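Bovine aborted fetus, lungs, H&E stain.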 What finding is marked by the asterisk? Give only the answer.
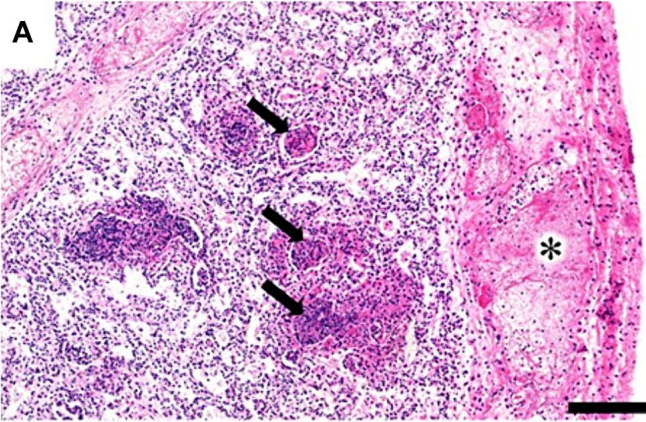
fibrinous pleuritis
